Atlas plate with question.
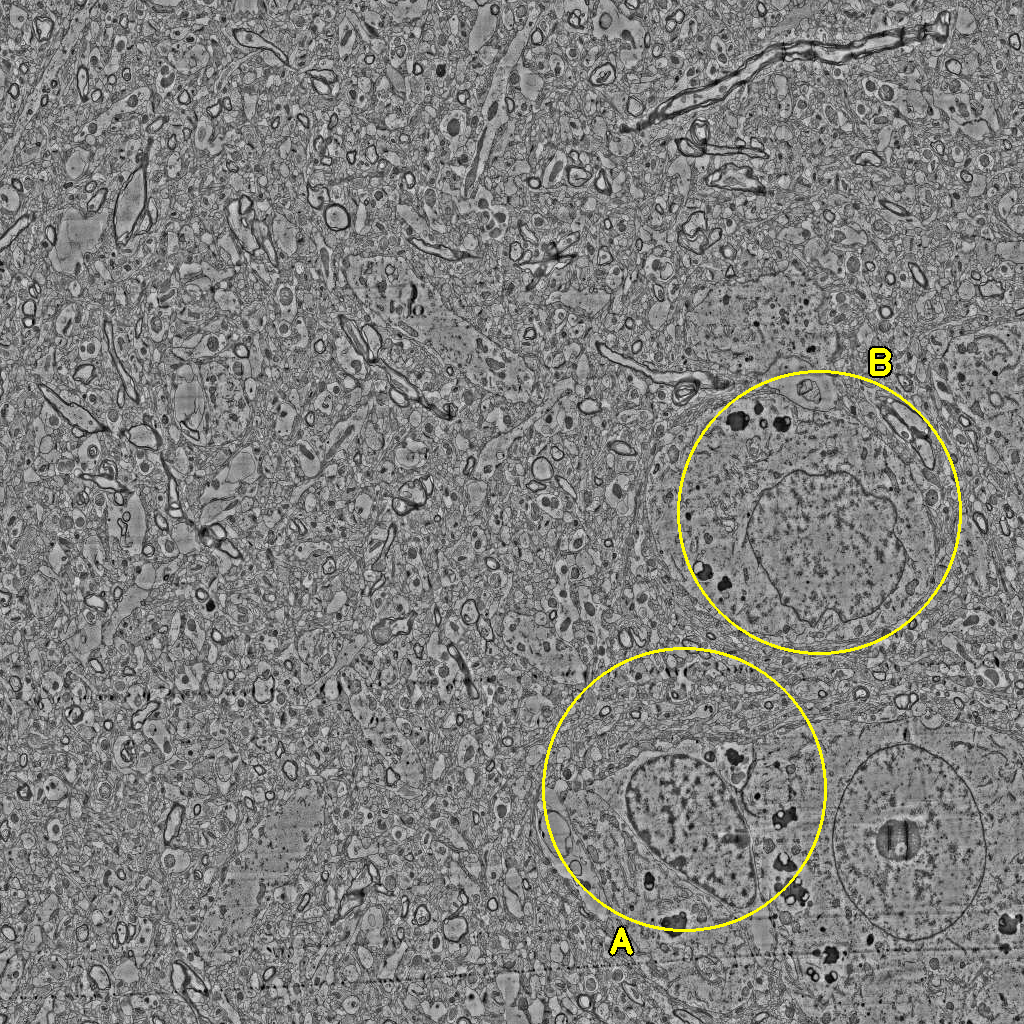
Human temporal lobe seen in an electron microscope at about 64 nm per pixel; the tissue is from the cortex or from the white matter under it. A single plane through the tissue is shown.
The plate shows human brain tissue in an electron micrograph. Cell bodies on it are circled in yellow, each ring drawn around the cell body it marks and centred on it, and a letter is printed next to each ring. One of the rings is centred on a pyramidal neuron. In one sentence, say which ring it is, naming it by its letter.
It is ring B.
